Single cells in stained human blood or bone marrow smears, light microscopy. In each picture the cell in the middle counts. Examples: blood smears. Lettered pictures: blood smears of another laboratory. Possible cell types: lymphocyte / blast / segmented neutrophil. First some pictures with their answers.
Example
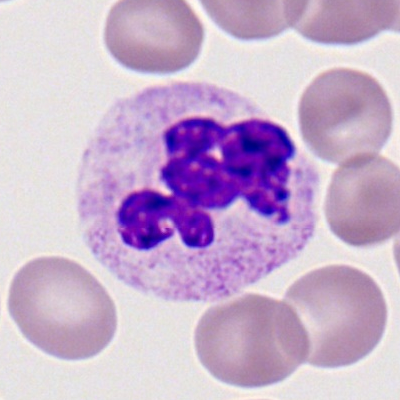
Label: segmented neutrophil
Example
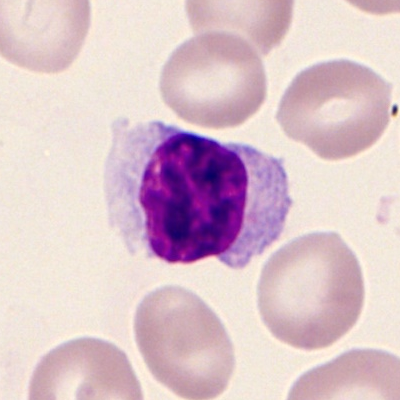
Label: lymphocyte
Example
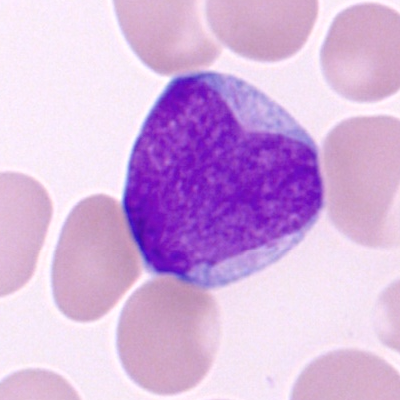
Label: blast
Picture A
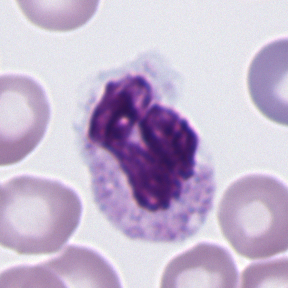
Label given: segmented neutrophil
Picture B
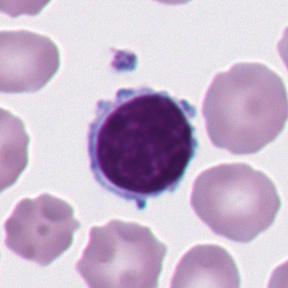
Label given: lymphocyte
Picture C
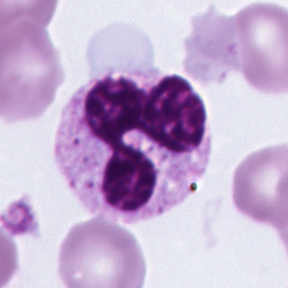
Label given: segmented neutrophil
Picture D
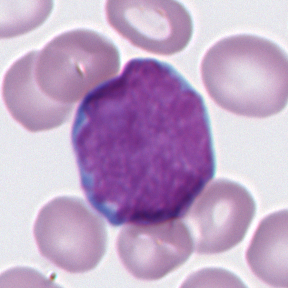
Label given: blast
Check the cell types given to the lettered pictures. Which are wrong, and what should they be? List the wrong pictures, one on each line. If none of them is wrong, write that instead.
None of the labels needs changing.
